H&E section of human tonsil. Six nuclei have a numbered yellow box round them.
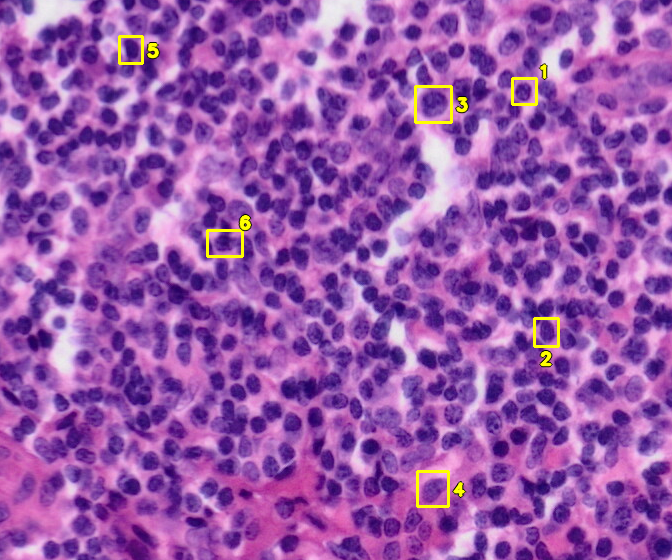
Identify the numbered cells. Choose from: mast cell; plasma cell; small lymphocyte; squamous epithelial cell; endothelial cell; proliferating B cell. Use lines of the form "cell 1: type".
cell 1: small lymphocyte
cell 2: small lymphocyte
cell 3: proliferating B cell
cell 4: endothelial cell
cell 5: small lymphocyte
cell 6: small lymphocyte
